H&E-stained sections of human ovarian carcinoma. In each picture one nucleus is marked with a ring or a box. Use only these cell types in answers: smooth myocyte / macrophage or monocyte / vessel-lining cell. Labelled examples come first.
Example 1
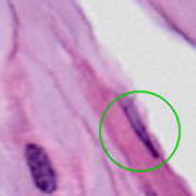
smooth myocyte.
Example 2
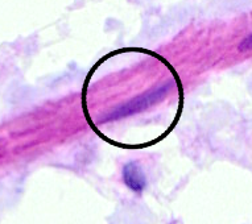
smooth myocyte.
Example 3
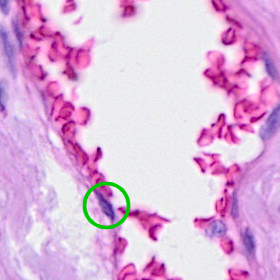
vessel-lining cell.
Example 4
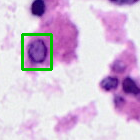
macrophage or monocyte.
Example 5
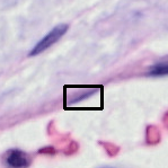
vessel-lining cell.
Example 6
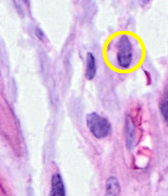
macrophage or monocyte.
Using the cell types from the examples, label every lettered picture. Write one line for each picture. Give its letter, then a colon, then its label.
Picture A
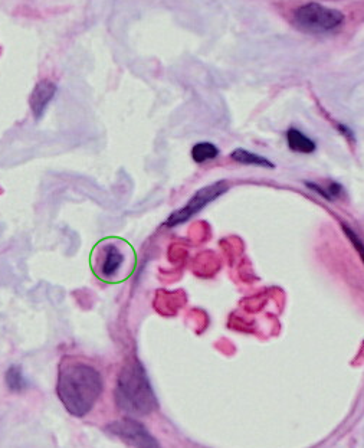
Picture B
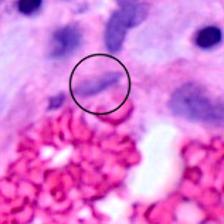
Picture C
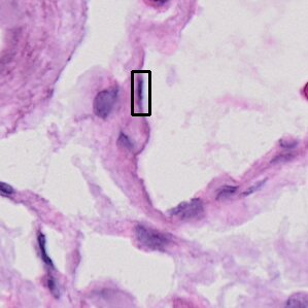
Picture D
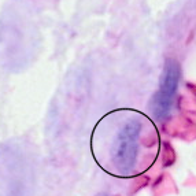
A: macrophage or monocyte.
B: vessel-lining cell.
C: vessel-lining cell.
D: vessel-lining cell.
